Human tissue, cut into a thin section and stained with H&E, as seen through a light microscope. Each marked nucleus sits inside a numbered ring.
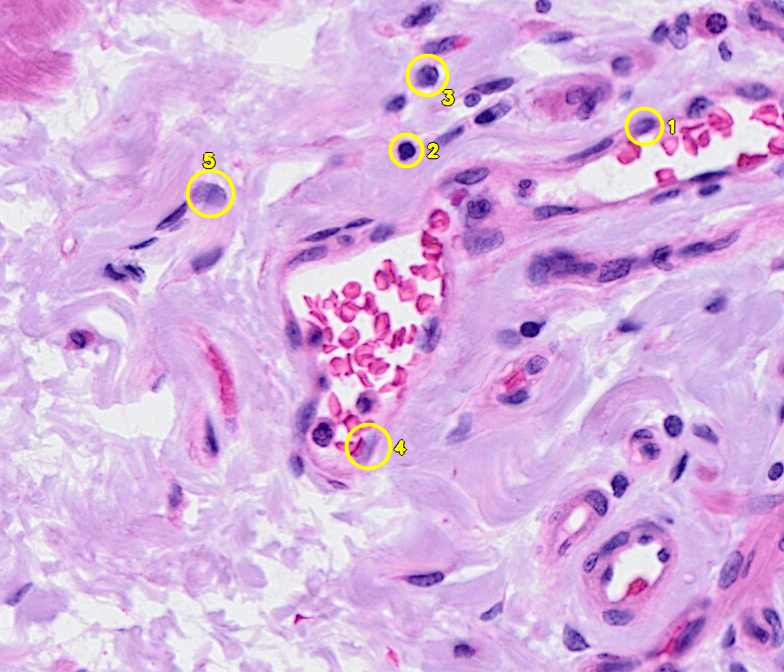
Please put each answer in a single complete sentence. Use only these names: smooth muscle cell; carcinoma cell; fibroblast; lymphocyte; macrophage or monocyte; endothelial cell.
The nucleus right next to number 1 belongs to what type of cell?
The nearest nucleus to number 1 belongs to a lymphocyte.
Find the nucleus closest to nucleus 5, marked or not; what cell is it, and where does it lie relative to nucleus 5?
Lying below and to the left of nucleus 5, the nearest nucleus is that of a fibroblast.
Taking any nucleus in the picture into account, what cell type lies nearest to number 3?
The nucleus nearest to number 3 is that of an endothelial cell.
